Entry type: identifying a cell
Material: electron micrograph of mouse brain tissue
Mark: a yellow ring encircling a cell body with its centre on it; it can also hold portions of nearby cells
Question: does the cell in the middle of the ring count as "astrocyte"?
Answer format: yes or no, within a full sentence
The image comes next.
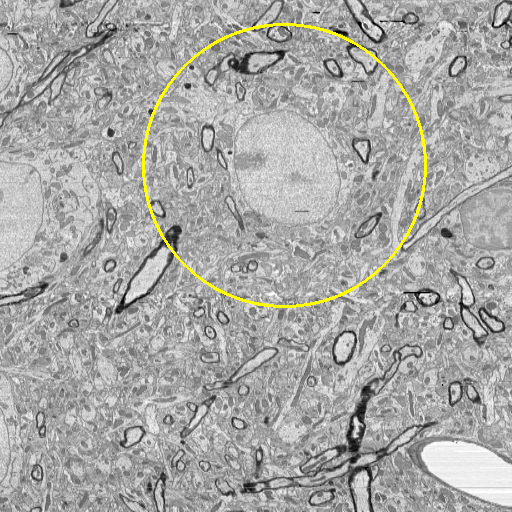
Yes, in the image, the cell in the middle of the yellow ring counts as the queried kind.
